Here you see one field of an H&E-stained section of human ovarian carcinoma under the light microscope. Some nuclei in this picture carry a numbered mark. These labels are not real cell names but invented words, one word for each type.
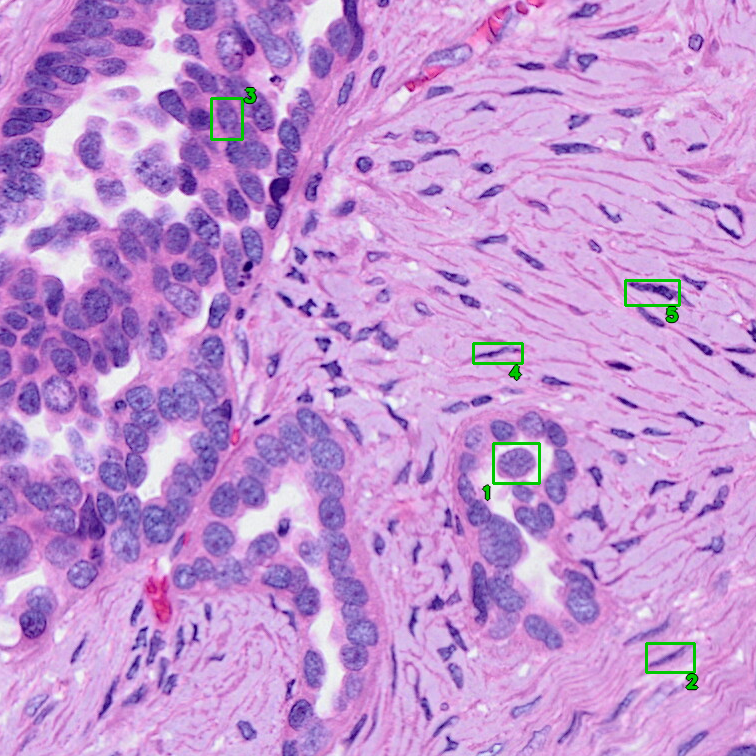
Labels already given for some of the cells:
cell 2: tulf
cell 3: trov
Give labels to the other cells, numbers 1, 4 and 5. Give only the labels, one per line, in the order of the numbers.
trov
tulf
tulf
